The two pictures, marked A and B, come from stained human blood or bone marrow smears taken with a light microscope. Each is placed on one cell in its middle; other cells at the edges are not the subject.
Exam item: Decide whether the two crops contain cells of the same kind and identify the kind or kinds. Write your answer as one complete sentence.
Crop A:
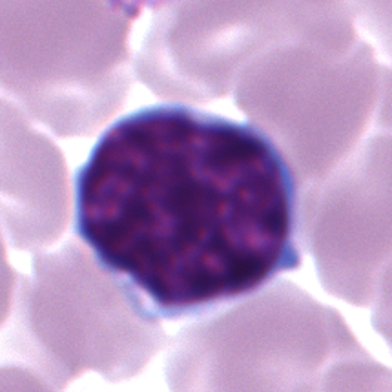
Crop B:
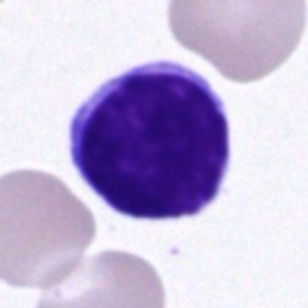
Yes, both crops are centred on cells that are lymphocytes.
